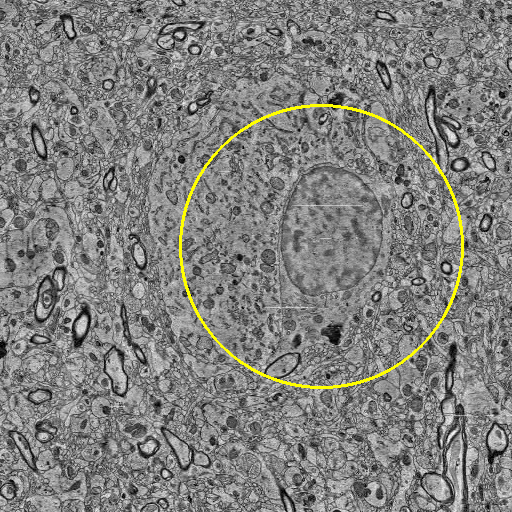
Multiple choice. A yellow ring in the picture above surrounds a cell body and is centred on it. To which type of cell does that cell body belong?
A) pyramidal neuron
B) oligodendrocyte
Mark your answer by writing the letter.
B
